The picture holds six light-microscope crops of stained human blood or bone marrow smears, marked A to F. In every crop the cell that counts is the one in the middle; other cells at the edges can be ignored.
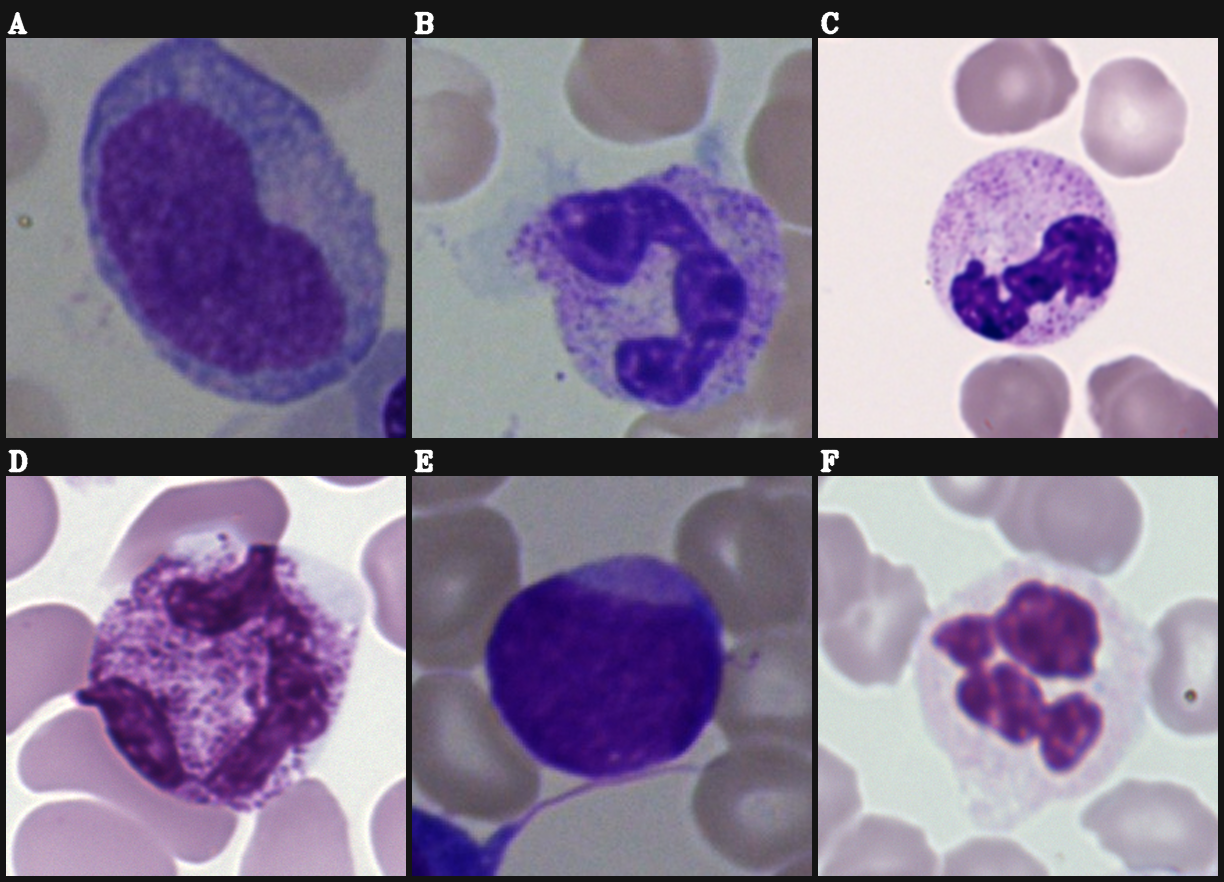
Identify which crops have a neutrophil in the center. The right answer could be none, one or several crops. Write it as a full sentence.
On review, crops B, C, D and F show neutrophils.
